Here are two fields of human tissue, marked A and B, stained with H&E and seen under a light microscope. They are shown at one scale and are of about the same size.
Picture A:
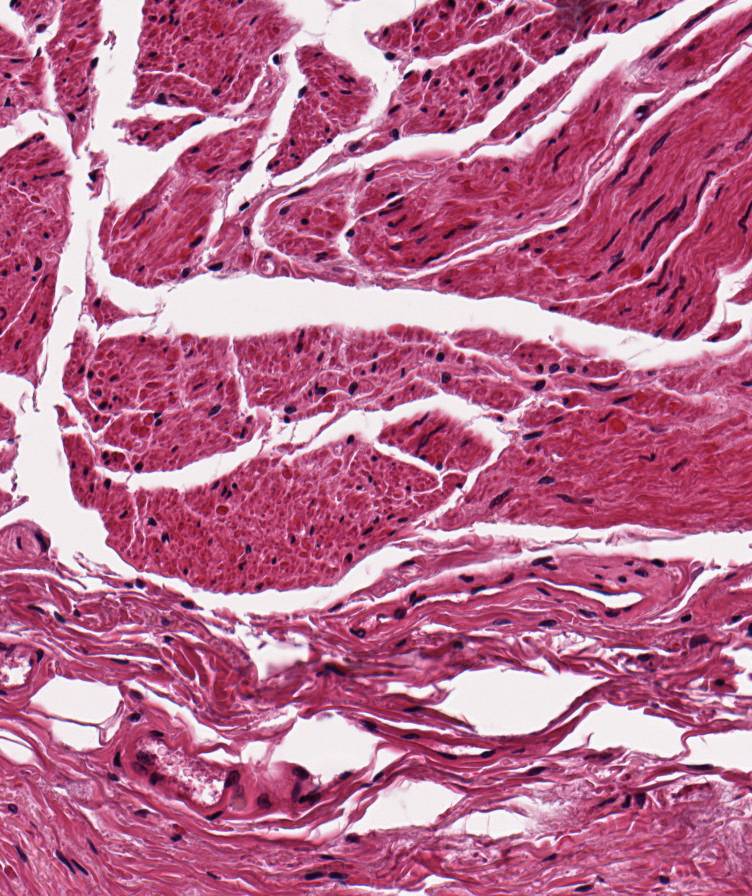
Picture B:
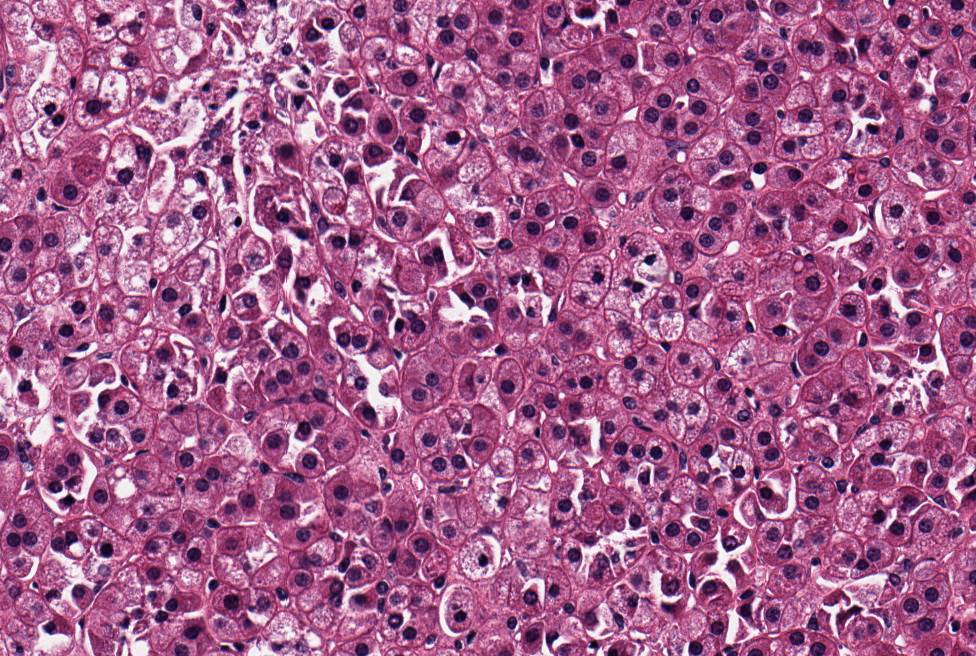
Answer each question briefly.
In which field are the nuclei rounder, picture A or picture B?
B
